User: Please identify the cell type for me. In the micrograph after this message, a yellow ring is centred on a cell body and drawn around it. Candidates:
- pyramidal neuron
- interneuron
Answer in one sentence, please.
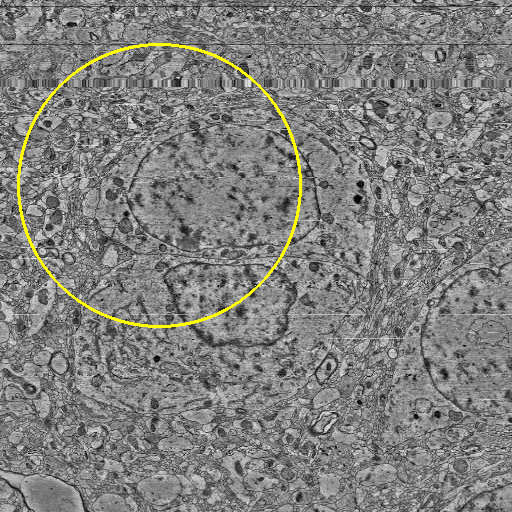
The ring is drawn around the cell body of a pyramidal neuron.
